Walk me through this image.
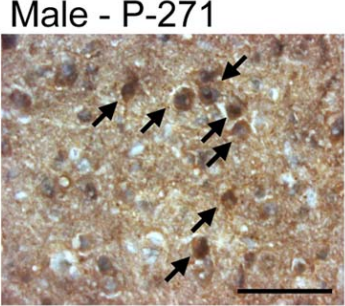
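Brain tissue shows scattered rounded neuron cell bodies in a brown, finely granular neuropil. Several cells have brown cytoplasm and a dark black nucleus, while surrounding cells have pale bluish nuclei. The labelled cells are grouped loosely in the middle of the field. These are neurons carrying both the brown cytoplasmic and the black nuclear label.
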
